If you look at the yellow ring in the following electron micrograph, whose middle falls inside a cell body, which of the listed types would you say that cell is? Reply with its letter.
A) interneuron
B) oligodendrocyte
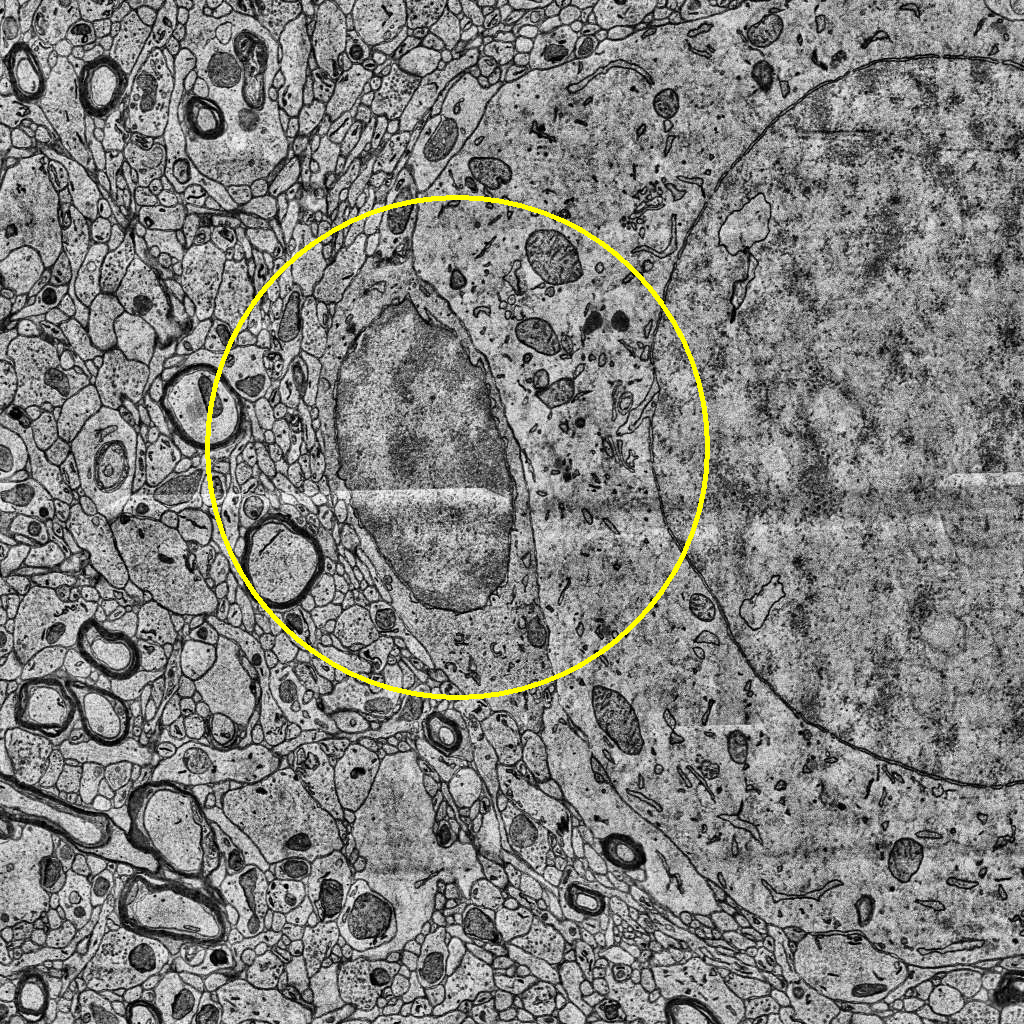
B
